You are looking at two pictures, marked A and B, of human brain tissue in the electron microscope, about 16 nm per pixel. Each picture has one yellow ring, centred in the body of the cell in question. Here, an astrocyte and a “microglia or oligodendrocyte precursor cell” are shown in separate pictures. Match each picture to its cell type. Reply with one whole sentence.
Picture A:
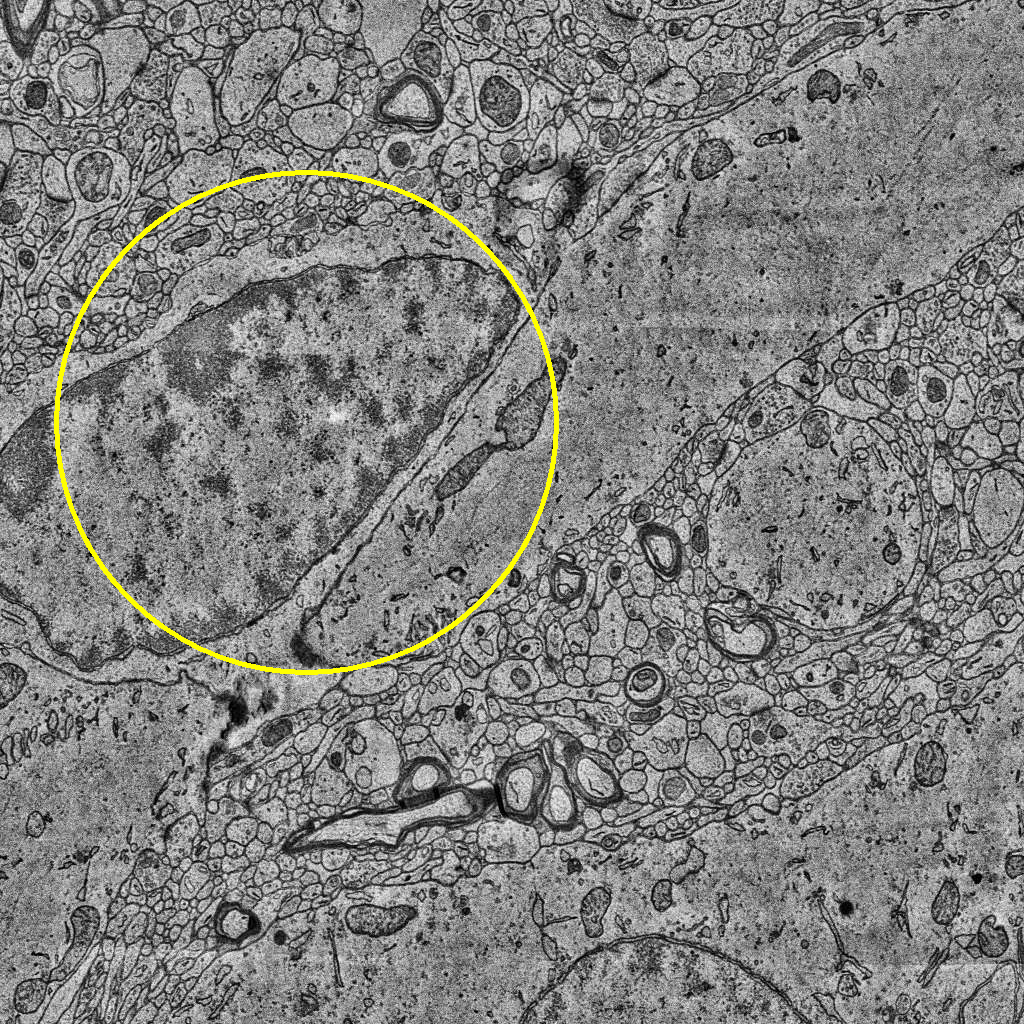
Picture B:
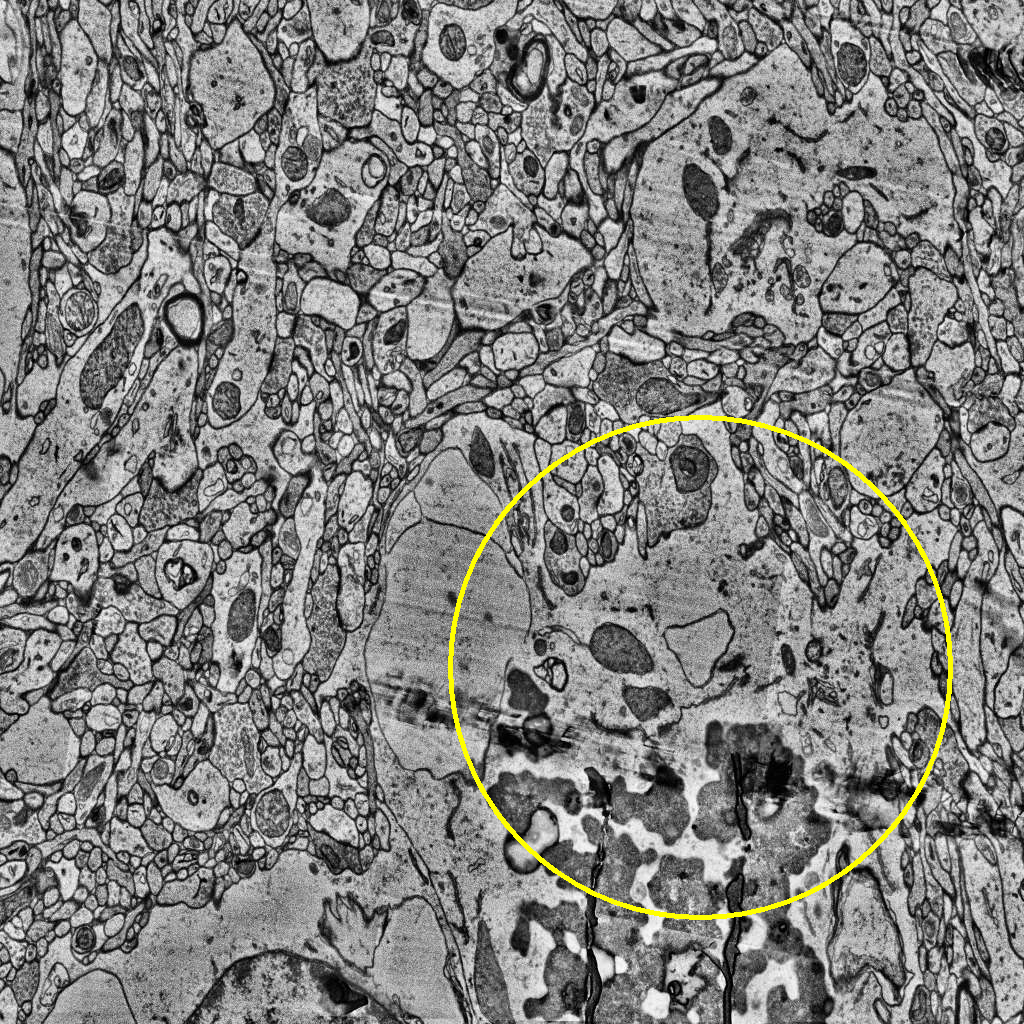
Picture B shows an astrocyte, while picture A shows a “microglia or oligodendrocyte precursor cell”.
